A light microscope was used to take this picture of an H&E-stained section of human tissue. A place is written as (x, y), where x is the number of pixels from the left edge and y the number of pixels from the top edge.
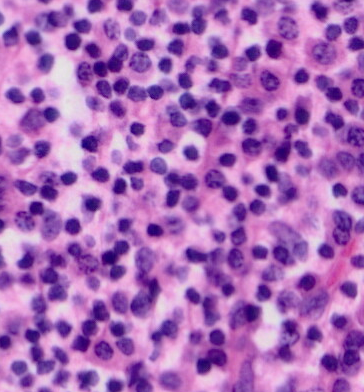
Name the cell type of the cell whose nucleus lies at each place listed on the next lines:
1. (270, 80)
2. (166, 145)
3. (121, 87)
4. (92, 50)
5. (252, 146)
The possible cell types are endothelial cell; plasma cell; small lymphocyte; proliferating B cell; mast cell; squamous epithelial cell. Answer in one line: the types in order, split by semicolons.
plasma cell; plasma cell; small lymphocyte; small lymphocyte; plasma cell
